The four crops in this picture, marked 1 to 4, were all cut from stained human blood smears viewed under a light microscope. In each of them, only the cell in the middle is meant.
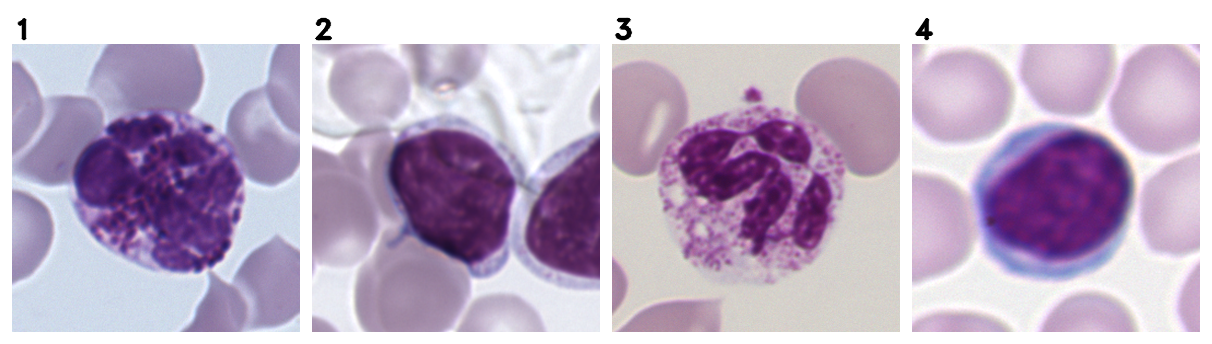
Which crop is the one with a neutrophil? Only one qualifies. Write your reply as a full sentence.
Crop 3 is identified as the crop showing a neutrophil.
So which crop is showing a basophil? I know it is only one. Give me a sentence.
It is the cell in crop 1 that is a basophil.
